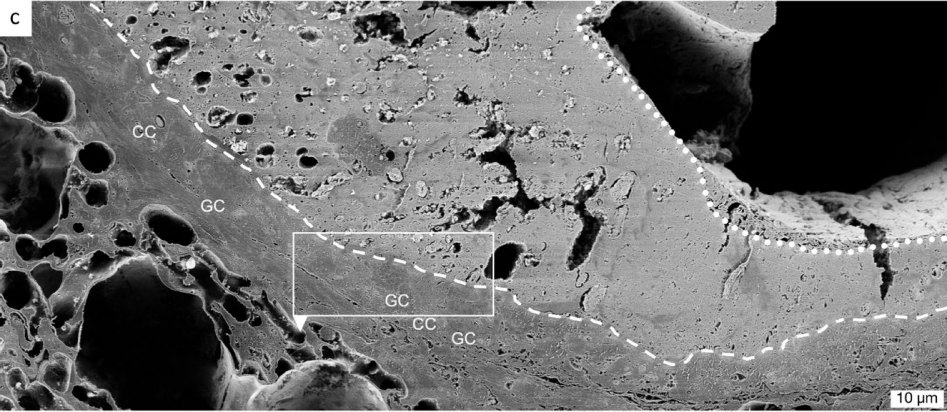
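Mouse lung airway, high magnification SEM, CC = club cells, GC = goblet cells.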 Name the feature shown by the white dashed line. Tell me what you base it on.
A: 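Below the line a layered cellular lining runs along the tissue. Above the line a broad, fairly homogeneous mass with scattered holes and debris. That points to this answer: border between epithelium and mucus.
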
